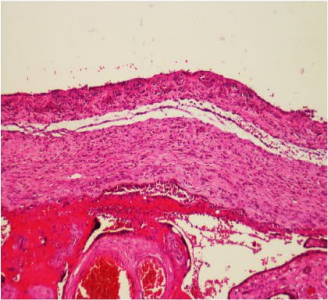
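This section of placental tissue shows a layered membrane running across the upper part of the field. The uppermost layer is dense and strongly stained pink-purple, with many closely packed small nuclei. Beneath it lie paler pink, more fibrous layers, separated from the upper layer by a thin clear cleft. Below the membrane is a region filled with deep red material, consistent with blood, containing rounded tissue profiles with their own red-filled spaces. The top of the field above the membrane is empty background.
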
